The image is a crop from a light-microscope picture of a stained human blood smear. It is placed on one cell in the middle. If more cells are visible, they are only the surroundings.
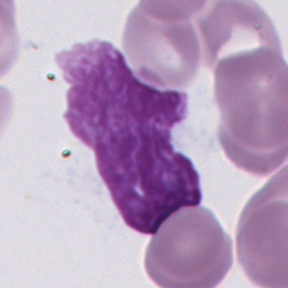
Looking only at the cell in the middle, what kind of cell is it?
smudge cell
